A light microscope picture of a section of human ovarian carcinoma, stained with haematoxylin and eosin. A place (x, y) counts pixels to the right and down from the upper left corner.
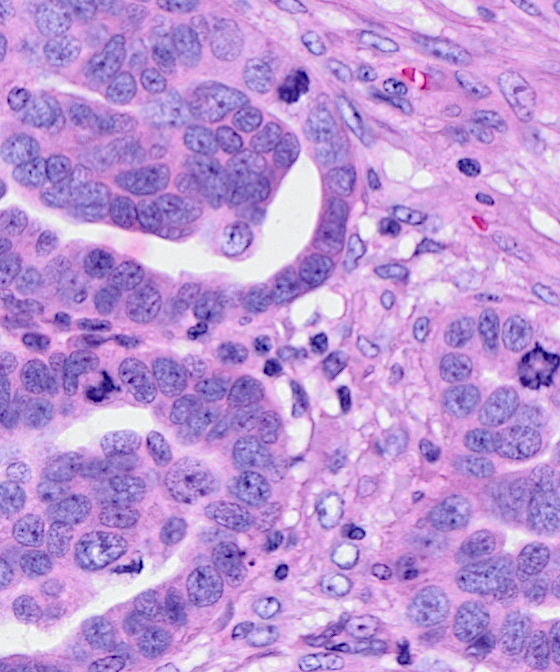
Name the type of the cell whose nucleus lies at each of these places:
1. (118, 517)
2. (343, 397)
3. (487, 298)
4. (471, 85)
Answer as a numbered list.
1. carcinoma cell
2. lymphocyte
3. fibroblast
4. fibroblast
